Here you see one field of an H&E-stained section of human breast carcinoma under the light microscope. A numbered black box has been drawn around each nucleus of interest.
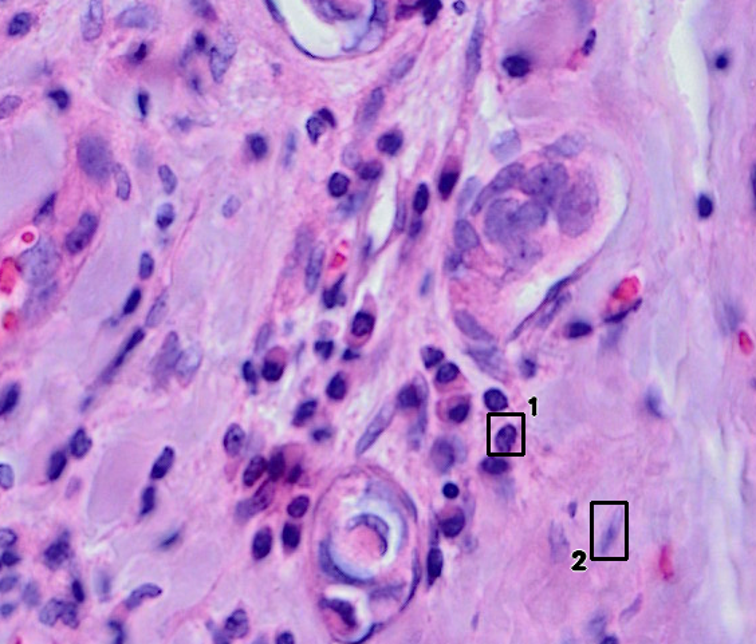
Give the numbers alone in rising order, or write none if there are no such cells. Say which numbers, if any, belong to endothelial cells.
none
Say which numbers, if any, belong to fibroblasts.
2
